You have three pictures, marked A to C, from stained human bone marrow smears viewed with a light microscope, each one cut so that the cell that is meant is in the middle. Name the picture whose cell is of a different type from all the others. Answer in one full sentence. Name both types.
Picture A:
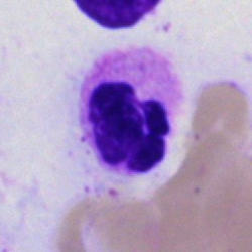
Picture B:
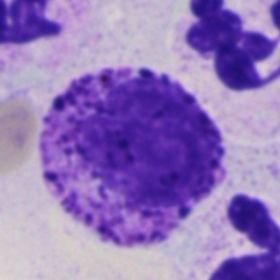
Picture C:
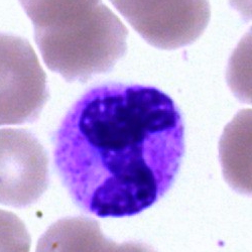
The others show segmented neutrophils, but picture B shows a basophil.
